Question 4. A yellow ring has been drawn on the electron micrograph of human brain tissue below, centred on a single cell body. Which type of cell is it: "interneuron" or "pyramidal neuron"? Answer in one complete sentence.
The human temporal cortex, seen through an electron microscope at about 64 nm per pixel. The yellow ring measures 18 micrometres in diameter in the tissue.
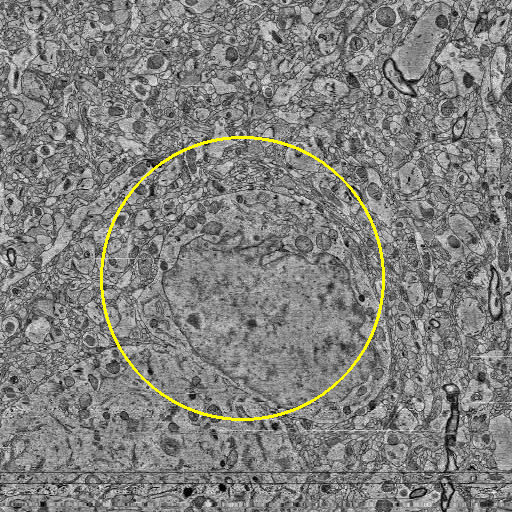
This cell body belongs to an interneuron.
